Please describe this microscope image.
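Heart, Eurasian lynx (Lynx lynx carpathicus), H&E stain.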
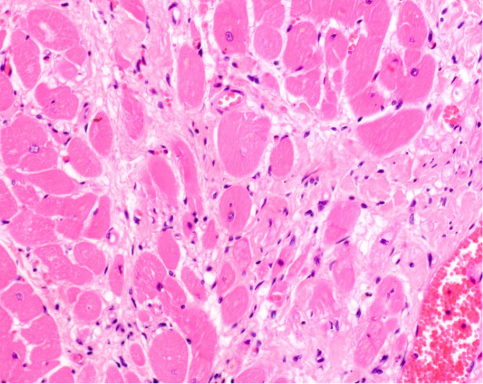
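Cardiac muscle in which the pink myocytes are markedly unequal in size and shape, some large and rounded with prominent central nuclei, others small, compressed and distorted. Pale connective tissue with scattered spindle and round nuclei surrounds and separates the muscle cells, and a vessel filled with red blood cells lies at the lower right.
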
